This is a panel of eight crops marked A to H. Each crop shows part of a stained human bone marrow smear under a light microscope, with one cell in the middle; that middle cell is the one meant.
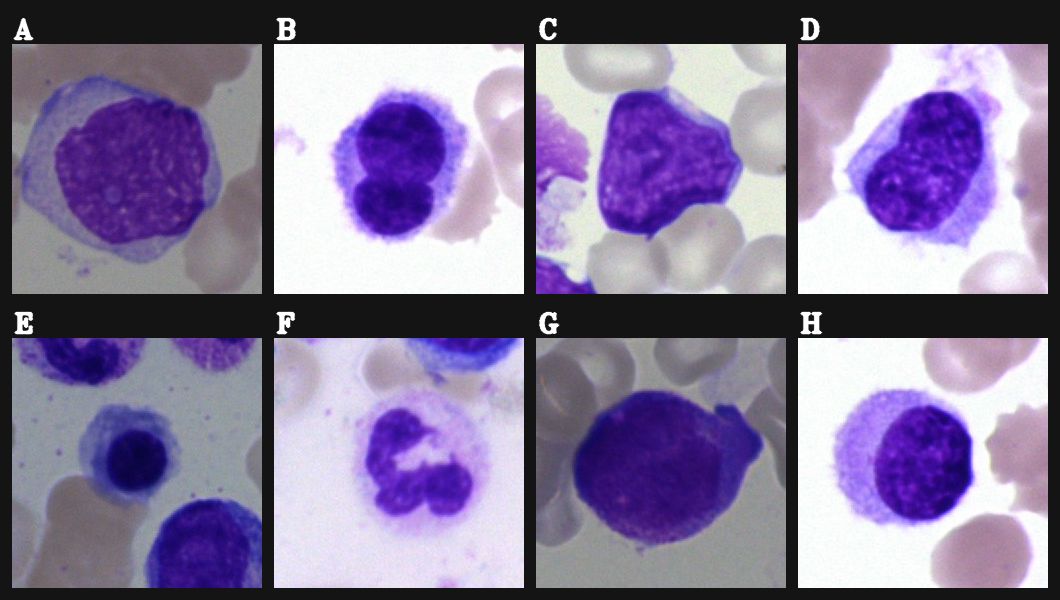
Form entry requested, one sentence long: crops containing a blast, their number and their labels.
As counted, three crops show blasts: A, C and G.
